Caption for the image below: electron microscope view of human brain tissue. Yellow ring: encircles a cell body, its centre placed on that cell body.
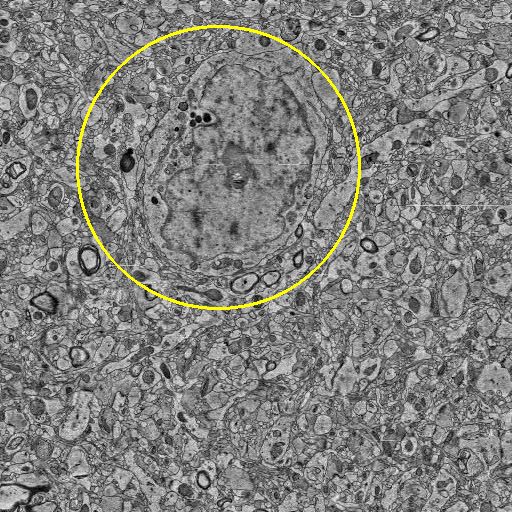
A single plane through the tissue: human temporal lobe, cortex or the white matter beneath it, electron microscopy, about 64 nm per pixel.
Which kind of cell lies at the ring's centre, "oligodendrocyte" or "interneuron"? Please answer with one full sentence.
The picture shows an interneuron at the centre of the yellow ring.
